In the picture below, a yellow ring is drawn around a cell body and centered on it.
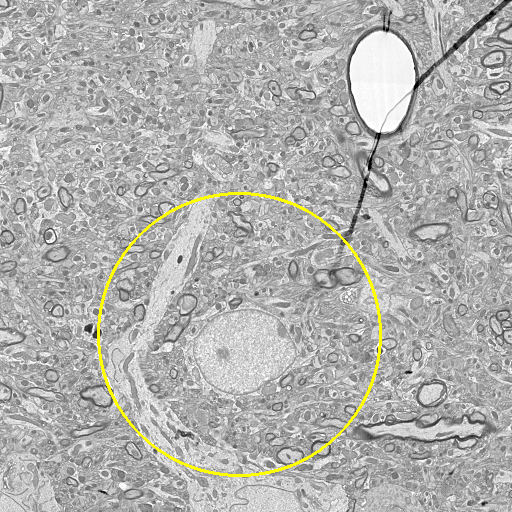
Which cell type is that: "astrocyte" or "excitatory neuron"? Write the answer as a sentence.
The cell centered in the ring is an astrocyte.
